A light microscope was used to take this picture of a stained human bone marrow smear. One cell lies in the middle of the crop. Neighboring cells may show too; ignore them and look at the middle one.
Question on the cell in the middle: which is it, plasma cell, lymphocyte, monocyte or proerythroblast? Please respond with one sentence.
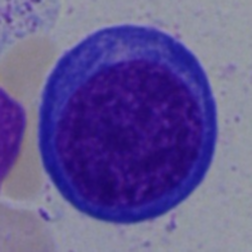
Occupying the centre of the crop is a proerythroblast.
